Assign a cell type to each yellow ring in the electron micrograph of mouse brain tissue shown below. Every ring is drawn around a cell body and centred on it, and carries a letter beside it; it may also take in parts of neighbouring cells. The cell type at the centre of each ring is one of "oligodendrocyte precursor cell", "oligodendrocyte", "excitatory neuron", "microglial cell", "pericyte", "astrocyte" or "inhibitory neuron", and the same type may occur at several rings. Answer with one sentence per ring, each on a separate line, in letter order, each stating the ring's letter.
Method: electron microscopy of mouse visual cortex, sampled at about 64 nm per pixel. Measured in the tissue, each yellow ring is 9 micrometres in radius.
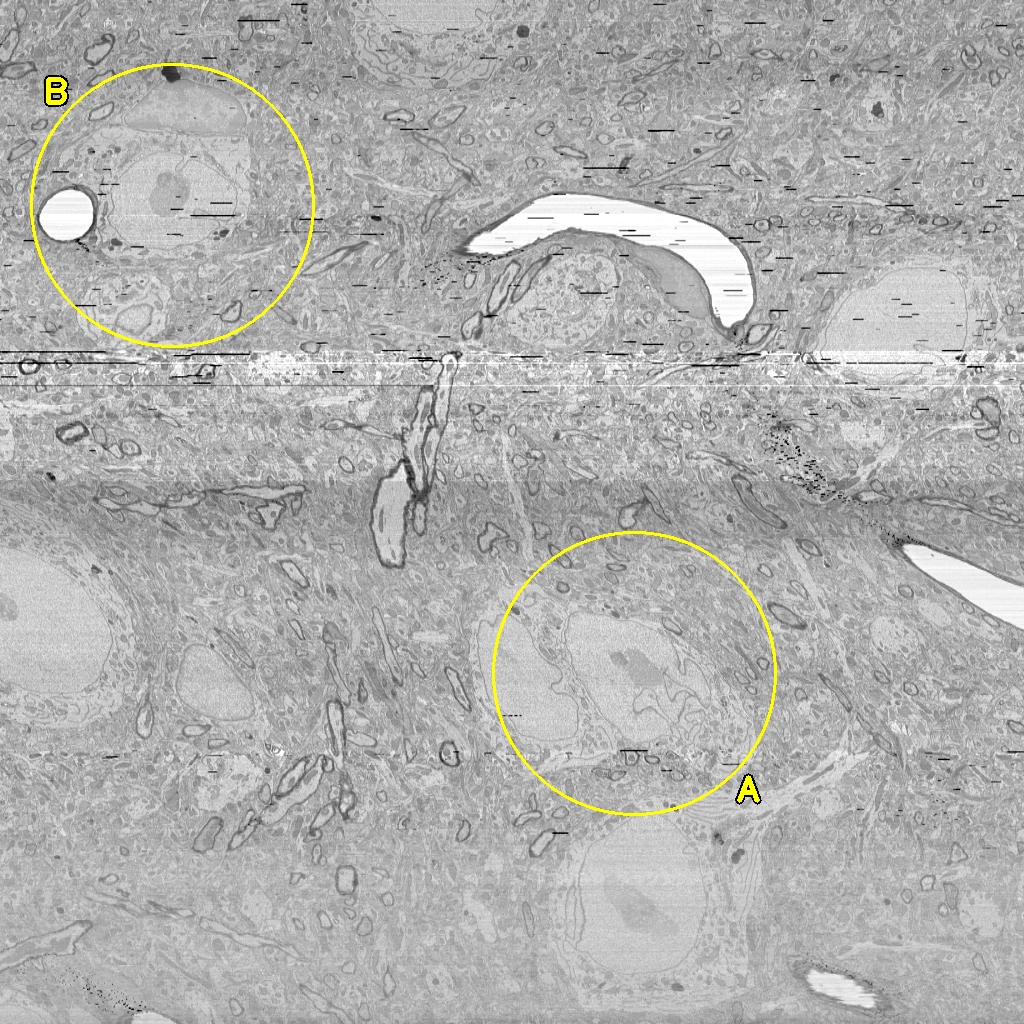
The cell at ring A's centre is an inhibitory neuron.
The cell at ring B's centre is an excitatory neuron.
